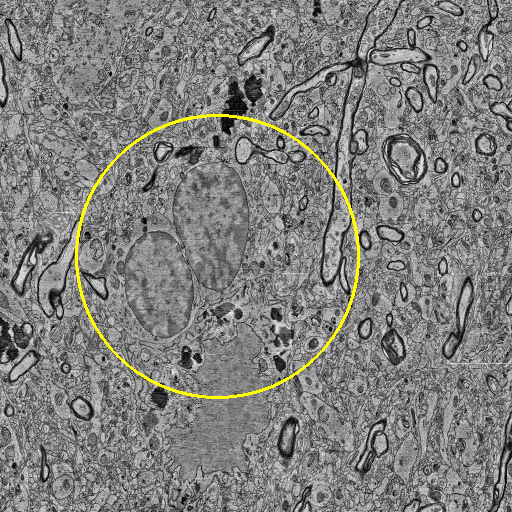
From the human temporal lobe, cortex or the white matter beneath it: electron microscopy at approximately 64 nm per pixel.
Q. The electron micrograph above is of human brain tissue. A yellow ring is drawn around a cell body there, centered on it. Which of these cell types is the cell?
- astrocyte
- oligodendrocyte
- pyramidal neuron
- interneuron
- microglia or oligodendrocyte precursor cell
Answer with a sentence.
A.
The cell under the ring's center is an oligodendrocyte.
